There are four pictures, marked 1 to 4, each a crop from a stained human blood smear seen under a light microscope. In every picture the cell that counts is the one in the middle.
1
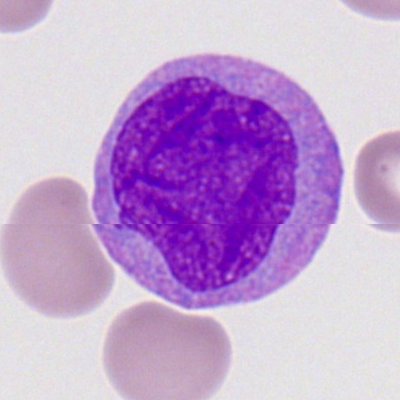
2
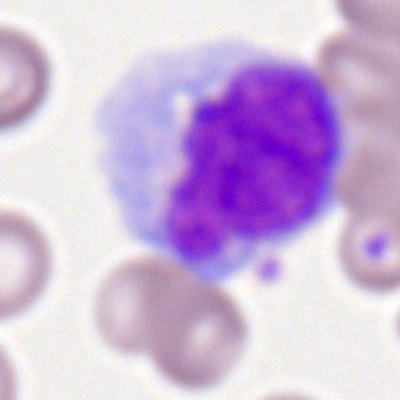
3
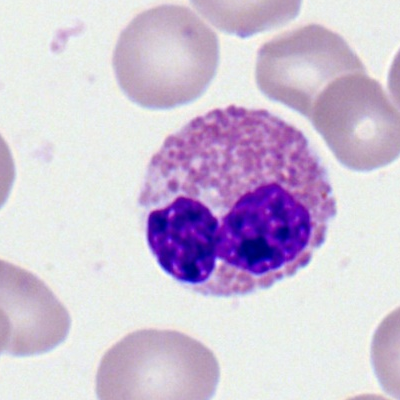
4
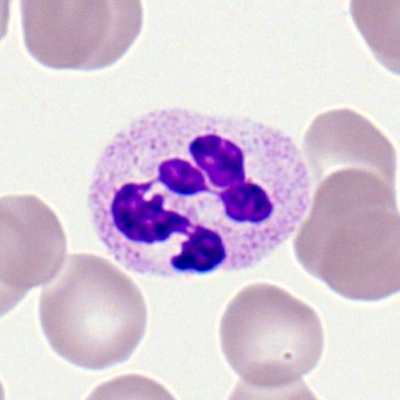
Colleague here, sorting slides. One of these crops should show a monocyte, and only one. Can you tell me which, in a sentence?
The one crop in the set with a monocyte is crop 2.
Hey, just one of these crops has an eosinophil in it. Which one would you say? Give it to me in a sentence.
Identified crop: 3, the one that shows an eosinophil.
